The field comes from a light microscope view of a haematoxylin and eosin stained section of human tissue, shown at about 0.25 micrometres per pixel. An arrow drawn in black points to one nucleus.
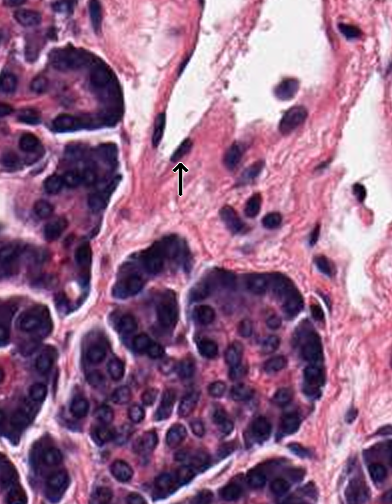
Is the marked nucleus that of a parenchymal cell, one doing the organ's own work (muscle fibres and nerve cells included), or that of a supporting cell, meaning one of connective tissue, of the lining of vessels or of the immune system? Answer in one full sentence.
The indicated nucleus in this section belongs to a supporting cell.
